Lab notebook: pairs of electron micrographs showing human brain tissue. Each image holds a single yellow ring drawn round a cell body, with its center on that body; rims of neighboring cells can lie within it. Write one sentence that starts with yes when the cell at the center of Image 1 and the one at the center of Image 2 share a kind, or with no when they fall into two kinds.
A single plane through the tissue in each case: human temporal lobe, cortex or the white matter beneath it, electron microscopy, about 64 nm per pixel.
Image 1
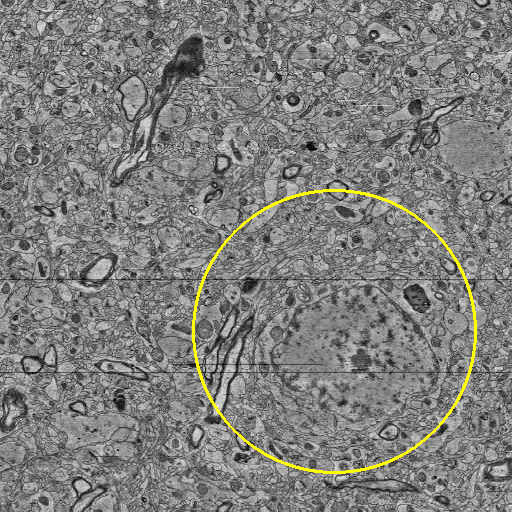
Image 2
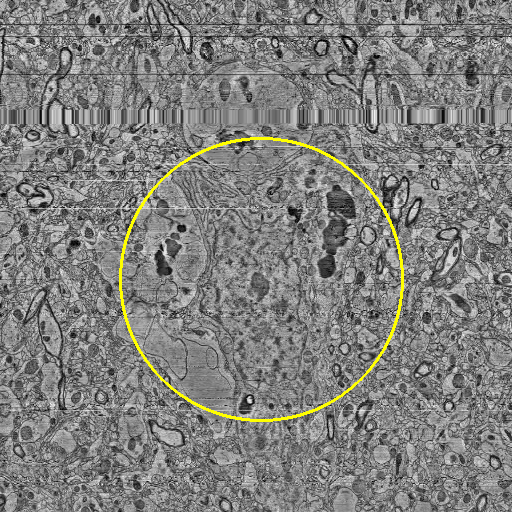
Yes, the centered cell in Image 1 and the centered cell in Image 2 are of one kind.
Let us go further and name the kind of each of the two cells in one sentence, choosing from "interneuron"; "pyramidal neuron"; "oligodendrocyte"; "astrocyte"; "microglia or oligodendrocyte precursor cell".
The second cell is an interneuron, just as the first is.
